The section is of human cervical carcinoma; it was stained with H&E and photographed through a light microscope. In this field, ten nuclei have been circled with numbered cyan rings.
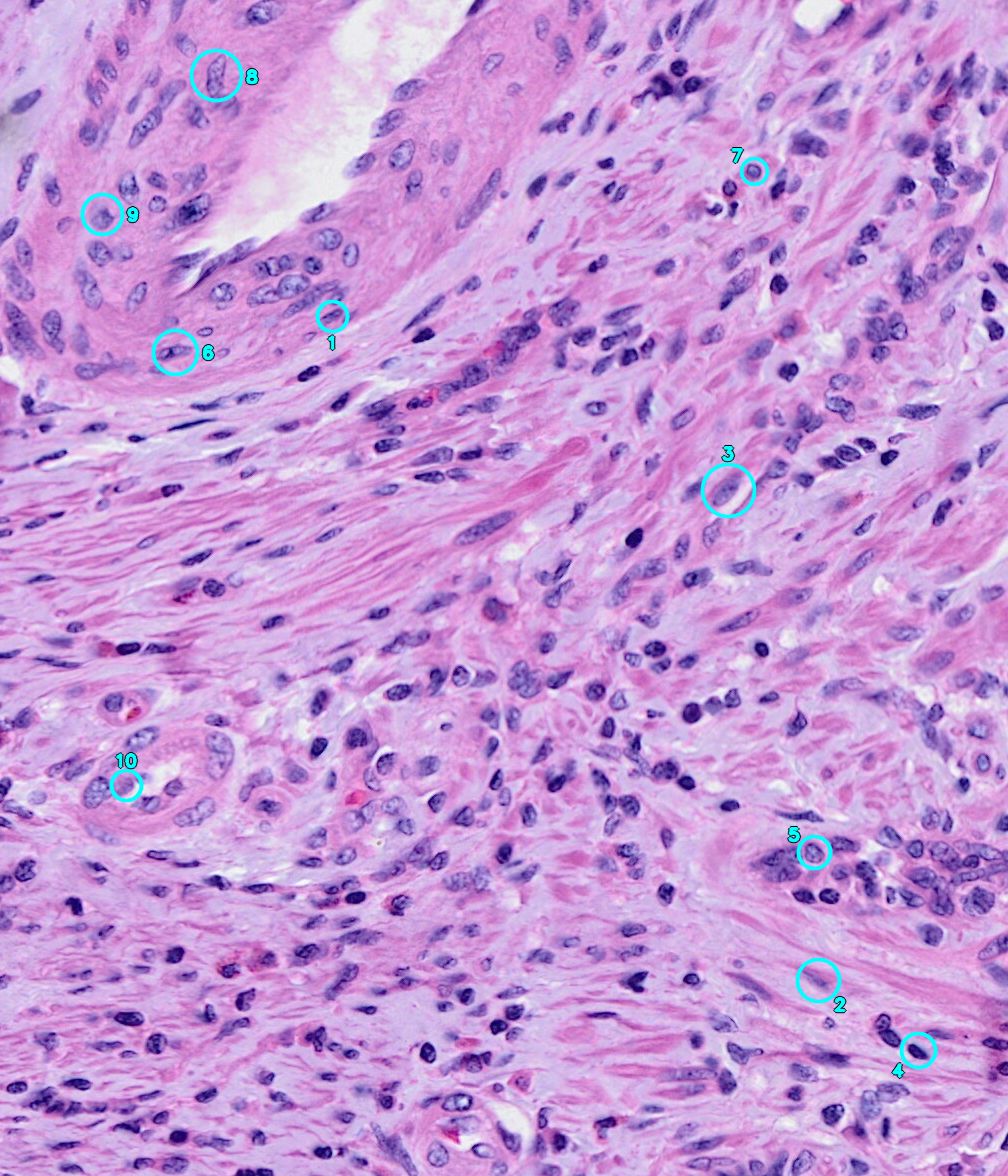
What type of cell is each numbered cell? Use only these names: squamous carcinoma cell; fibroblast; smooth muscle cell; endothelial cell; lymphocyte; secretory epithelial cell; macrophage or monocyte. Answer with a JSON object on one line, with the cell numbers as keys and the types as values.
{"1": "smooth muscle cell", "2": "smooth muscle cell", "3": "endothelial cell", "4": "lymphocyte", "5": "endothelial cell", "6": "smooth muscle cell", "7": "smooth muscle cell", "8": "smooth muscle cell", "9": "smooth muscle cell", "10": "endothelial cell"}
